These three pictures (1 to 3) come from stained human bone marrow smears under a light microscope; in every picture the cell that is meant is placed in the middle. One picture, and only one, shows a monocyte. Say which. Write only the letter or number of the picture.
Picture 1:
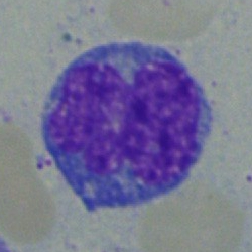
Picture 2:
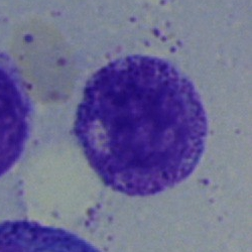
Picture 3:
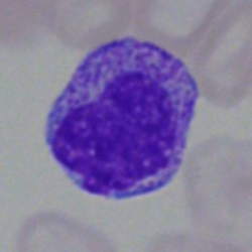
1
